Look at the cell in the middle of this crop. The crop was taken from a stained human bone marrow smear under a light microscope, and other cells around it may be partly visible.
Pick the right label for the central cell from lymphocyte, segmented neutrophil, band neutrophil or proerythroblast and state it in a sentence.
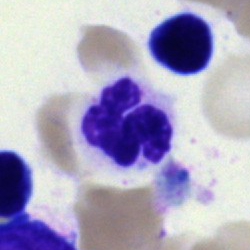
The cell found in the middle of this crop is a segmented neutrophil.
